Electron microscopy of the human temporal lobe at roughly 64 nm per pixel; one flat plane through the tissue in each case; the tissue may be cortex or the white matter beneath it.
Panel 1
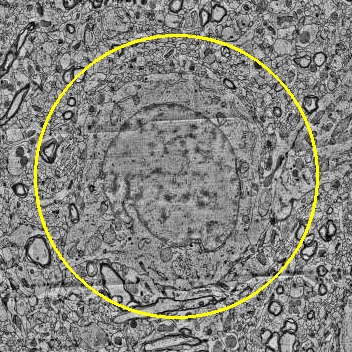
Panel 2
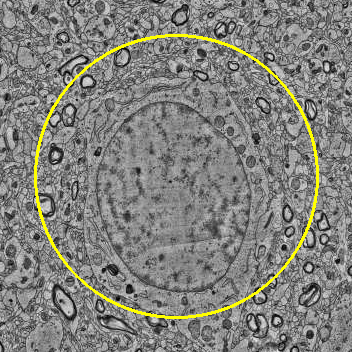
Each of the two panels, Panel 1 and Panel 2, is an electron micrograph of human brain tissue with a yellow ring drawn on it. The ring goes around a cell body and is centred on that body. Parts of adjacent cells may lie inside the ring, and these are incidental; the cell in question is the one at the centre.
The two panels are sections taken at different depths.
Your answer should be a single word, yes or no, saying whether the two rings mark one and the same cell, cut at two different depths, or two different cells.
yes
